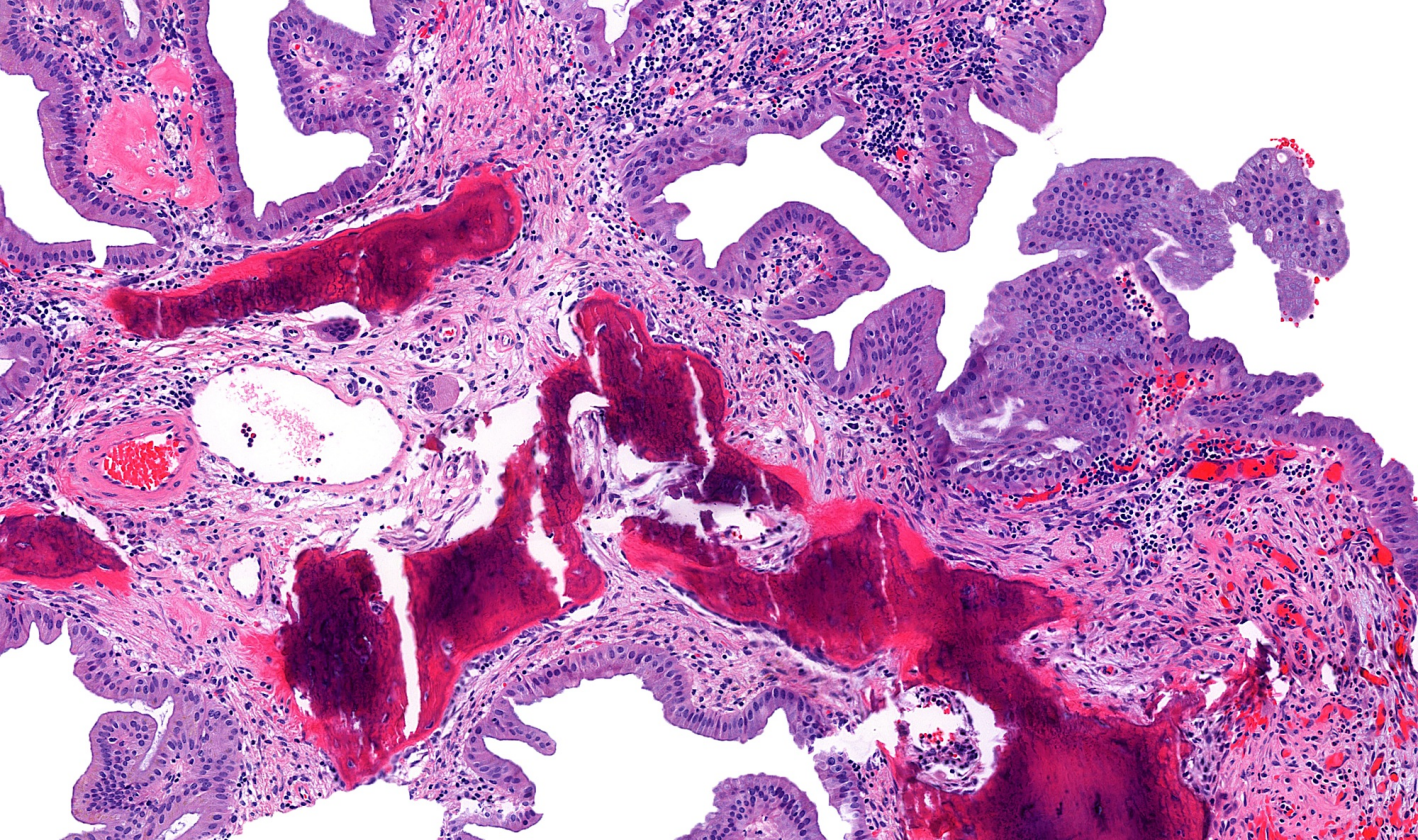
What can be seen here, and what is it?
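A polypoid gallbladder mucosa with papillary fronds is lined by a single layer of tall columnar epithelium with basal oval nuclei. Its loose fibrovascular stroma holds scattered lymphocytes, thin-walled and congested vessels, and several irregular, branching trabeculae of dense deep red-purple bone matrix. These trabeculae are cracked and bordered by a brighter pink seam.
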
